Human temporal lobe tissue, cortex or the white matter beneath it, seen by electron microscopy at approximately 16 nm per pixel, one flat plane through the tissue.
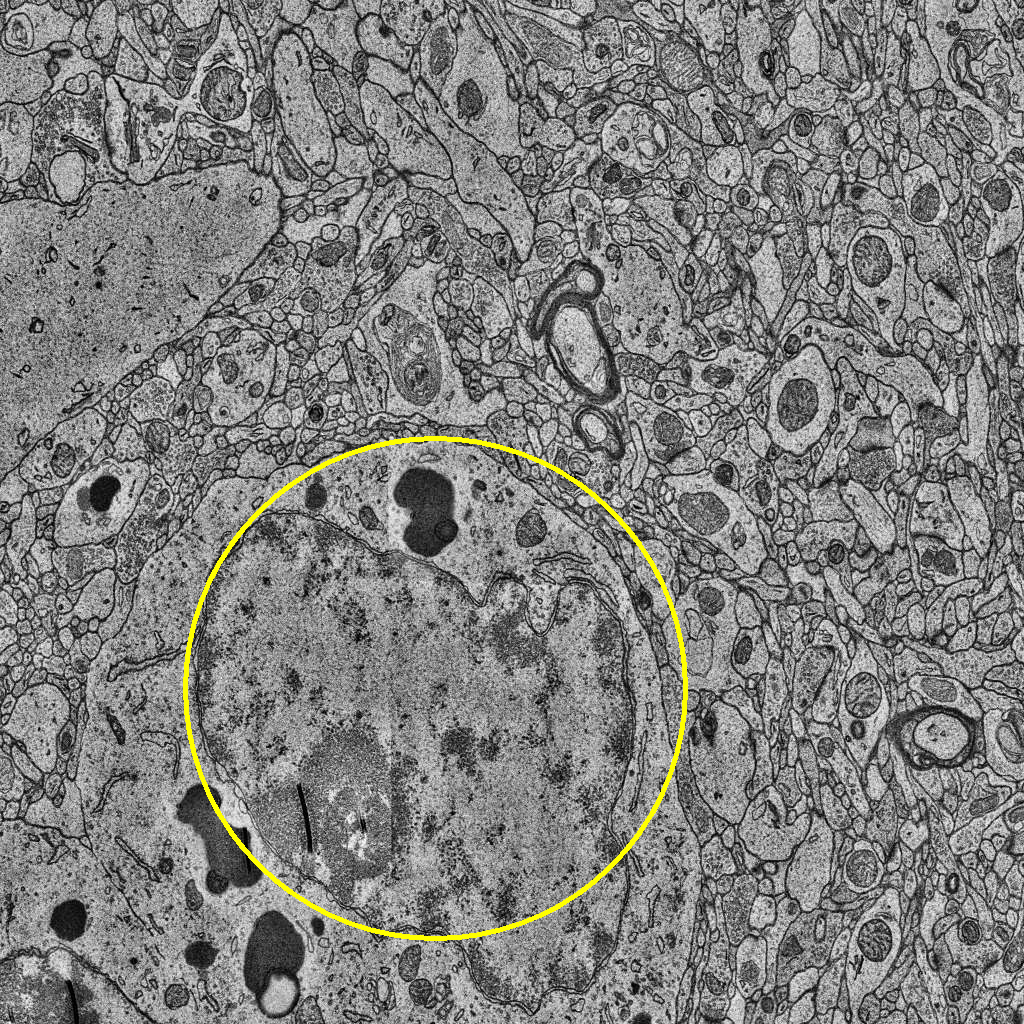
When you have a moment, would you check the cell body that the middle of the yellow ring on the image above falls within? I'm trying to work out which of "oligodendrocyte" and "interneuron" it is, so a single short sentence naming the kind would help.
This cell body belongs to an interneuron.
